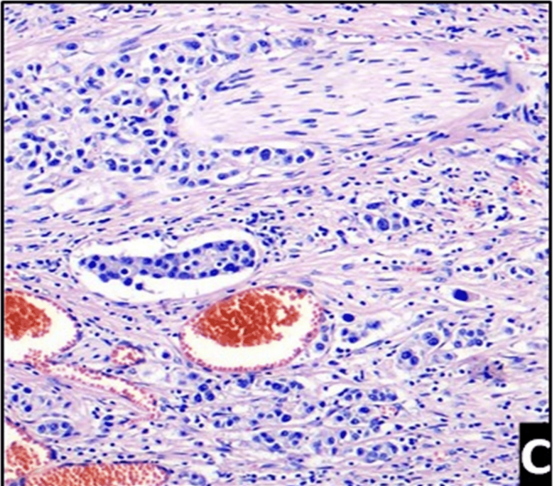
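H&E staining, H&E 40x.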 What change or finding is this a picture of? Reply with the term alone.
Perineural and lymphovascular invasion.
